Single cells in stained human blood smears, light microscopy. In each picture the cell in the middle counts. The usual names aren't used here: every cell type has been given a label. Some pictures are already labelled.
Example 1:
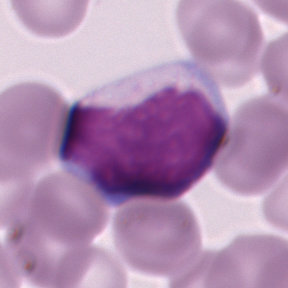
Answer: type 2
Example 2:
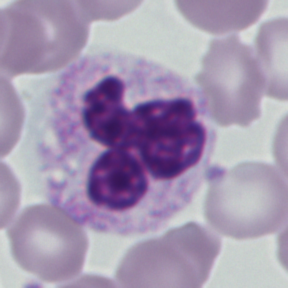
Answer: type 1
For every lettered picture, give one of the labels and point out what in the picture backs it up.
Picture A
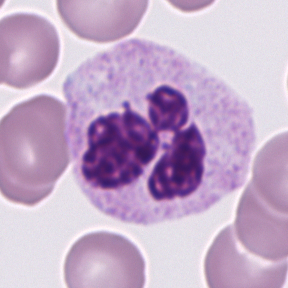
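Answer: type 1. The cytoplasm is abundant and pale pinkish-lilac.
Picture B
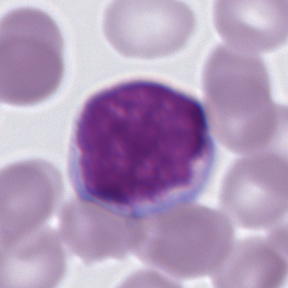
Answer: type 2. The cytoplasm is a thin rim that is widest along the lower edge of the cell.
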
